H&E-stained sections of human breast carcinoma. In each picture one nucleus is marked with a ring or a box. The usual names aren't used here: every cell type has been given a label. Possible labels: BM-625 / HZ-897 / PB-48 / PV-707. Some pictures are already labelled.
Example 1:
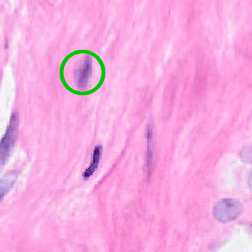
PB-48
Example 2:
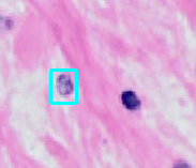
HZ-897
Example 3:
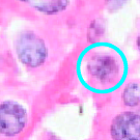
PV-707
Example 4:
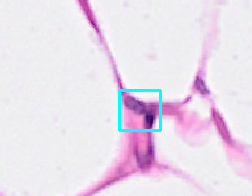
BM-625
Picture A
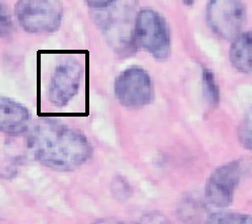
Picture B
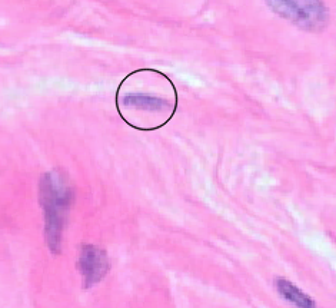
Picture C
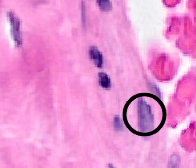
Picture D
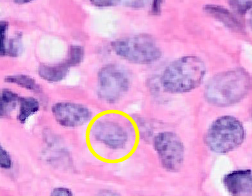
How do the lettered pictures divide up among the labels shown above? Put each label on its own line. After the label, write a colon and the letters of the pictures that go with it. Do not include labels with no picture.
BM-625: C
PB-48: B
PV-707: A, D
